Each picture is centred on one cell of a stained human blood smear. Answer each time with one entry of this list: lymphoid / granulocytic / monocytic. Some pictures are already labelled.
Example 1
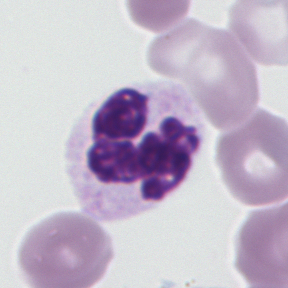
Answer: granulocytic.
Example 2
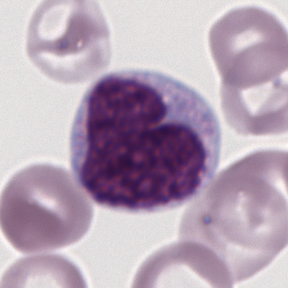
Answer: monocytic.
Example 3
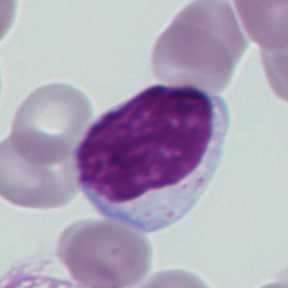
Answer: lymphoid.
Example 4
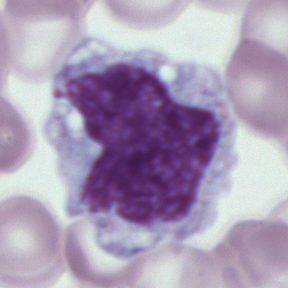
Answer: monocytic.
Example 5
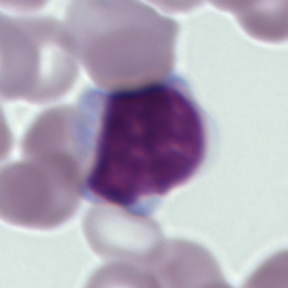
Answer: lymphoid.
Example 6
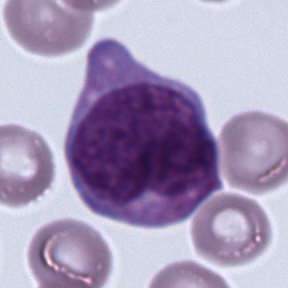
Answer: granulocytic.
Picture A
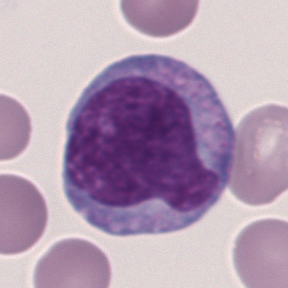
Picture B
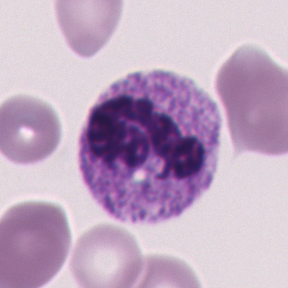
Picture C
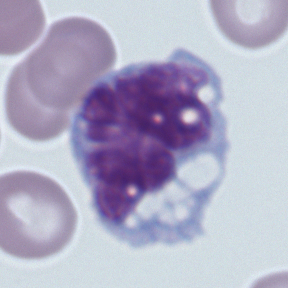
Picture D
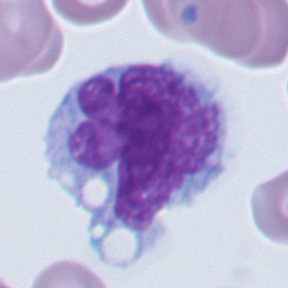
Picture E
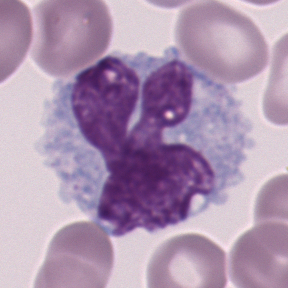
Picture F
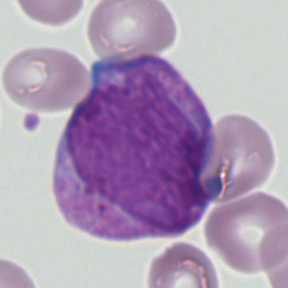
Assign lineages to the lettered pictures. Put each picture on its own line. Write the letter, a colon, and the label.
A: granulocytic.
B: granulocytic.
C: monocytic.
D: monocytic.
E: monocytic.
F: granulocytic.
